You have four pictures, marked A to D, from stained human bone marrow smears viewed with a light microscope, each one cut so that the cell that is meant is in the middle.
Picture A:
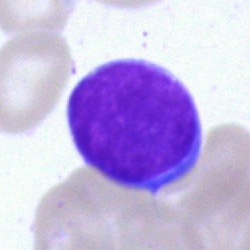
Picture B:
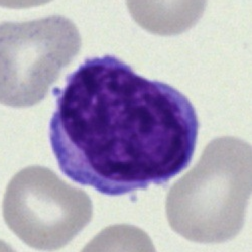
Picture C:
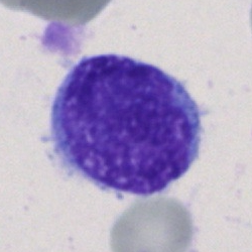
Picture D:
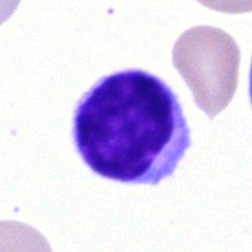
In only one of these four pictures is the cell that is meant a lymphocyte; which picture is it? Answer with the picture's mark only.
D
